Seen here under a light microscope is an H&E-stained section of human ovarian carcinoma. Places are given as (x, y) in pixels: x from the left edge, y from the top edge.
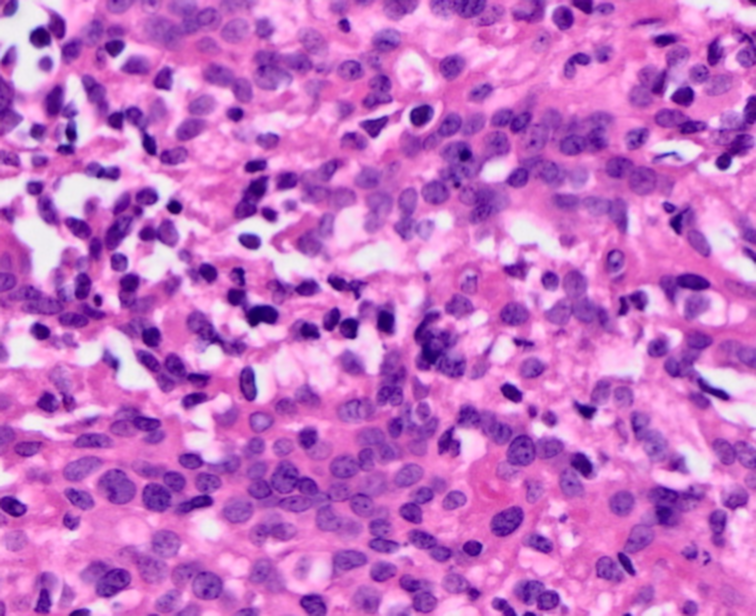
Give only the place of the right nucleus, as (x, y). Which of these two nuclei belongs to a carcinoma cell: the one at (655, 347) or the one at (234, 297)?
(234, 297)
